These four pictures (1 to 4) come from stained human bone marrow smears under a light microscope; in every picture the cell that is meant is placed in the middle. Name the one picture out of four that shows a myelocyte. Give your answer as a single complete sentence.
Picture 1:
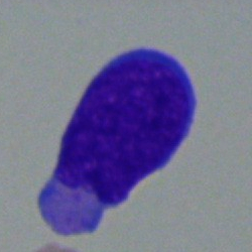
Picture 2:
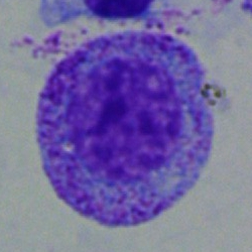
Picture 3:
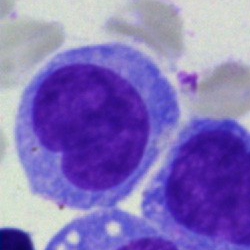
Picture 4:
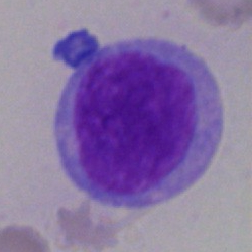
Picture 2 shows the myelocyte.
